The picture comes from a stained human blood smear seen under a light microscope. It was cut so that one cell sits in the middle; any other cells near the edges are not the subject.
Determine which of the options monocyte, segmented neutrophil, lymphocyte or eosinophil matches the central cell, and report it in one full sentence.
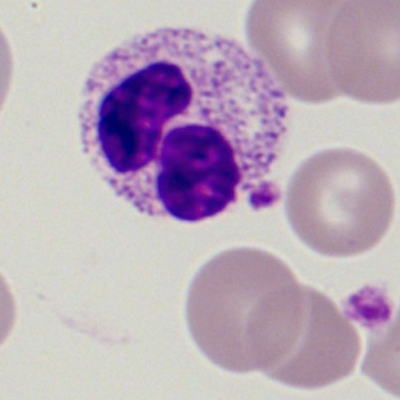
This crop is built around a segmented neutrophil at its centre.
